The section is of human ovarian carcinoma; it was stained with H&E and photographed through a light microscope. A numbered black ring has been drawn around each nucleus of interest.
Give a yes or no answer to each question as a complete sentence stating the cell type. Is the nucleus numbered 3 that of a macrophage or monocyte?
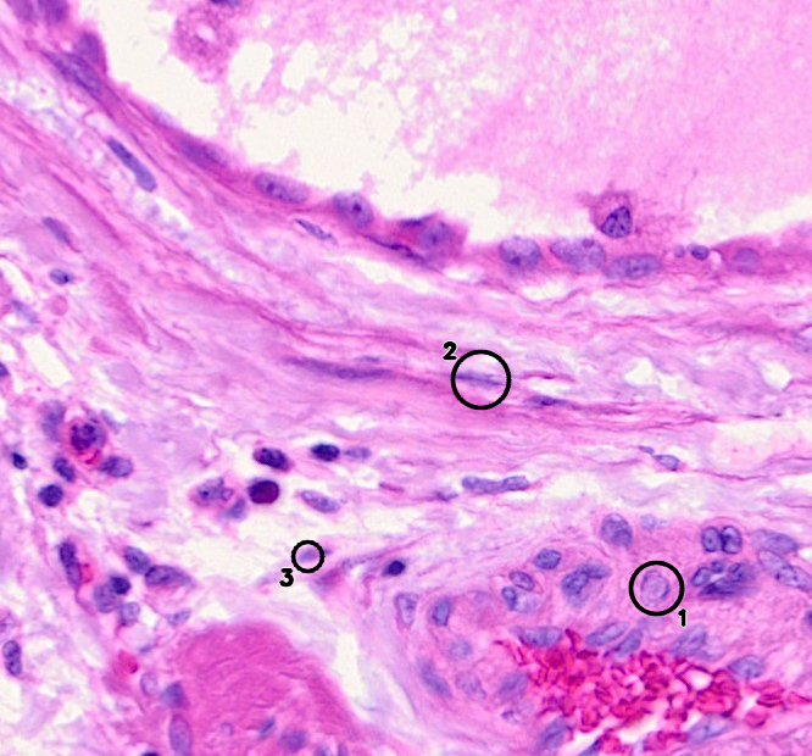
Yes, so the cell at label 3 is a macrophage or monocyte.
